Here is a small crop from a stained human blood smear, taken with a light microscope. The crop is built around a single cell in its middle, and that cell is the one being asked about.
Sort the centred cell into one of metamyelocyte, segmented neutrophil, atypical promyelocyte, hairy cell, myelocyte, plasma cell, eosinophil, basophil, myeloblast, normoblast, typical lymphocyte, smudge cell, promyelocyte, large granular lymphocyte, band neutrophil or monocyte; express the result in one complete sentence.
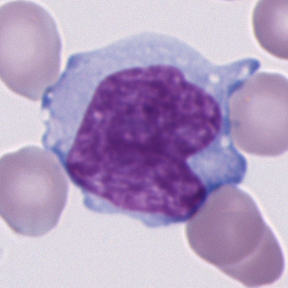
The cell at the central position in this crop is a myeloblast.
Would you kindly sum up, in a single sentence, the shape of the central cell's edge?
The cell outline lacks smoothness, being ragged or extended into projections.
